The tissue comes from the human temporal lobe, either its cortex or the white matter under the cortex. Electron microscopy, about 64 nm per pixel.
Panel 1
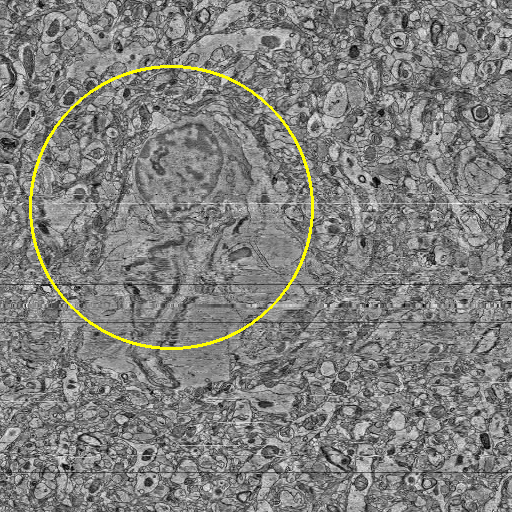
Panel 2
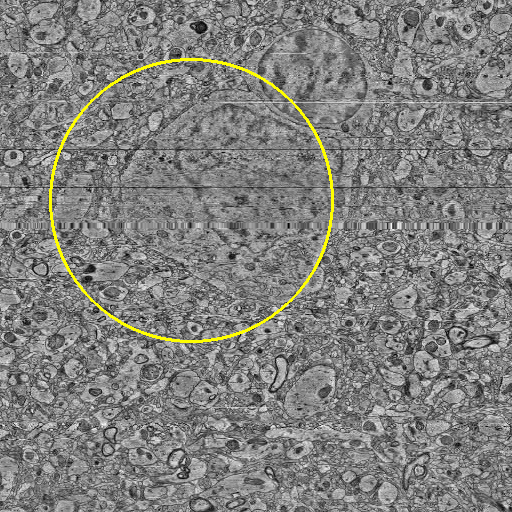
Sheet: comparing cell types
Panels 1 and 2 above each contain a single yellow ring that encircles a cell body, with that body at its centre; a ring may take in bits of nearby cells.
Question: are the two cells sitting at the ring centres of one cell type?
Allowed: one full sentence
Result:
No, the ring-centre cells in Panel 1 and Panel 2 are of two types.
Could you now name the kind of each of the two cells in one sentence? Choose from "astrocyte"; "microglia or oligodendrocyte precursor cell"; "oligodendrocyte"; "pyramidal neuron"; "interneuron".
The first ring encloses an oligodendrocyte; the second ring encloses an interneuron.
